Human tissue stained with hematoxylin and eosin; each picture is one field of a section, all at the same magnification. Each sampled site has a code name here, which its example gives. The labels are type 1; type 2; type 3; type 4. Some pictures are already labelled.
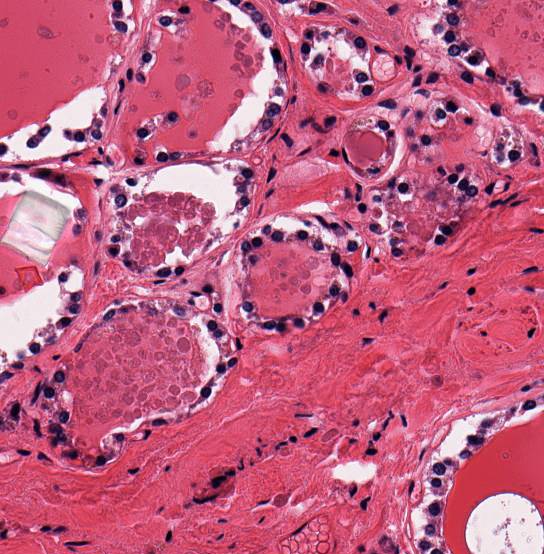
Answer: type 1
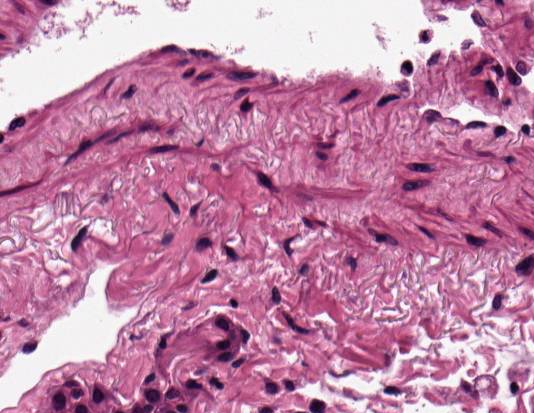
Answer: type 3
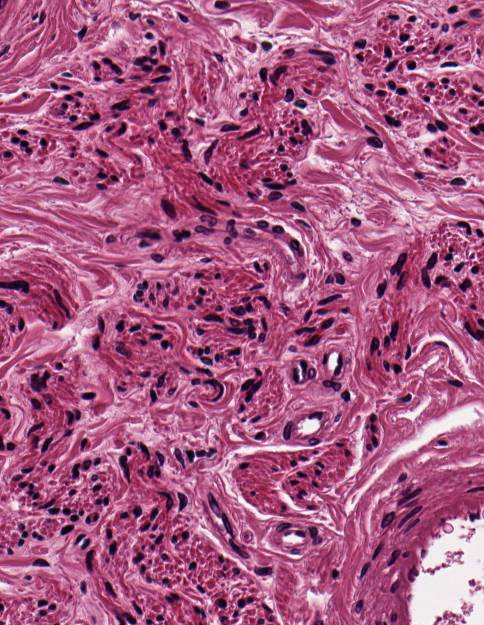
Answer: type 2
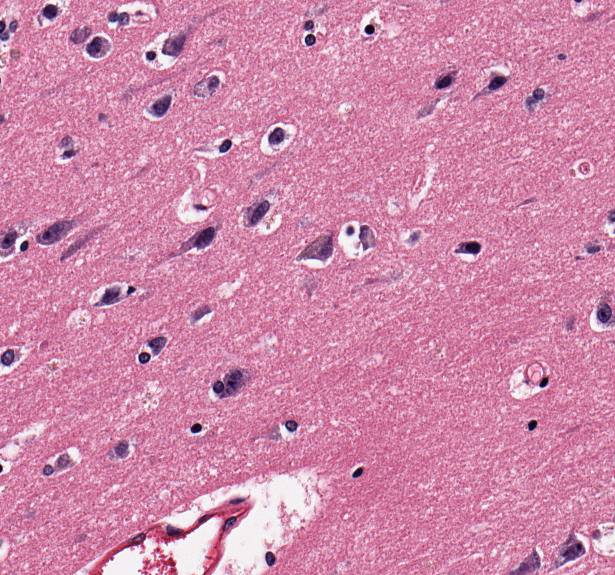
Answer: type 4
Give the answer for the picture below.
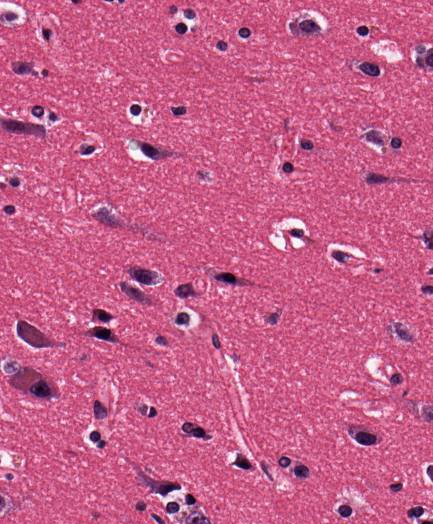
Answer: type 4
